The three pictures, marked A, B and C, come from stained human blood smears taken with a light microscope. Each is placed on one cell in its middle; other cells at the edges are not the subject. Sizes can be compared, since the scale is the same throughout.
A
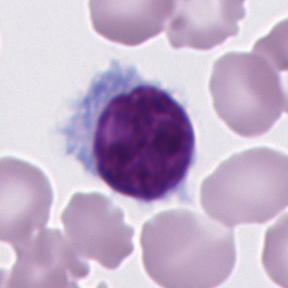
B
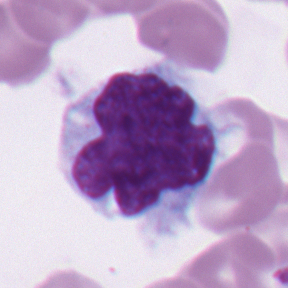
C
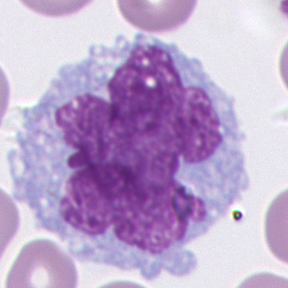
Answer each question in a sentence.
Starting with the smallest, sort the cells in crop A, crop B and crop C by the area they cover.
Going up, they run A, B, C.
